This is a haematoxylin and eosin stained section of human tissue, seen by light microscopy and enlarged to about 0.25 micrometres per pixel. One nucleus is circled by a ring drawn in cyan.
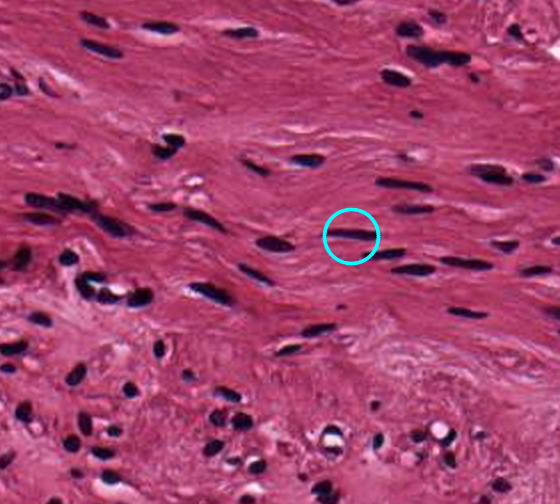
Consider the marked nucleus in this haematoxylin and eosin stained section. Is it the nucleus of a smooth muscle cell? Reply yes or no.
yes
